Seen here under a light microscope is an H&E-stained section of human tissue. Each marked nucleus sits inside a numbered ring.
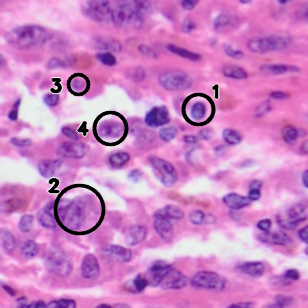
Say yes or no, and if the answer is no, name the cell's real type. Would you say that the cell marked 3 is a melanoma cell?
No, it is a macrophage or monocyte.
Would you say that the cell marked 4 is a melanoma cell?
Yes.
